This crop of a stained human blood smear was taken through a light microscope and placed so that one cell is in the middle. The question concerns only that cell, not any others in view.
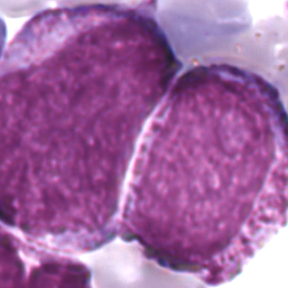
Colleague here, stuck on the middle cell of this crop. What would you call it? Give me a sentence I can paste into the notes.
Framed in the middle of the crop is a promyelocyte.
